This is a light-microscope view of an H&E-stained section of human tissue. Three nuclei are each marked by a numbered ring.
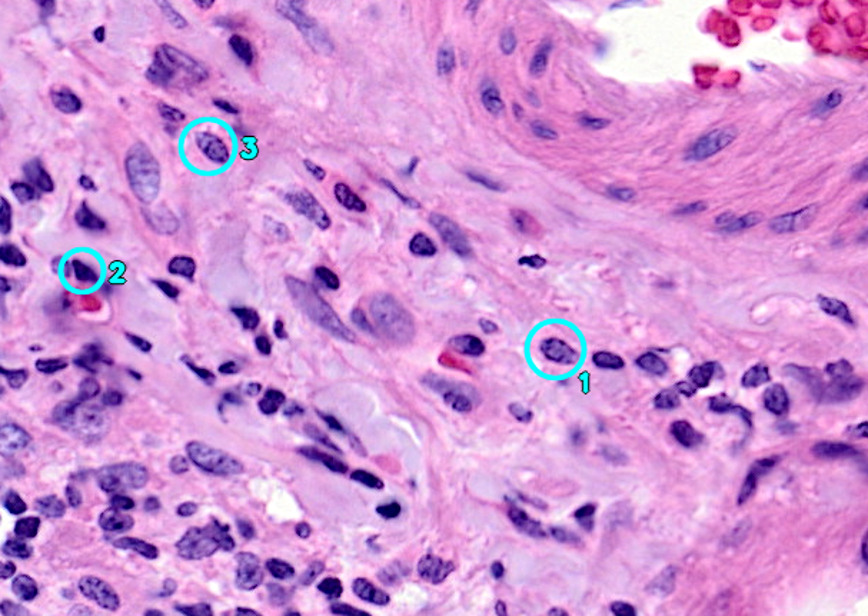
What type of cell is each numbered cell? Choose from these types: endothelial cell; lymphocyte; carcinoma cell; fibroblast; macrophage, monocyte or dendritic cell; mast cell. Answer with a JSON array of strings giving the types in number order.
["mast cell", "lymphocyte", "mast cell"]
